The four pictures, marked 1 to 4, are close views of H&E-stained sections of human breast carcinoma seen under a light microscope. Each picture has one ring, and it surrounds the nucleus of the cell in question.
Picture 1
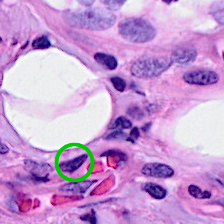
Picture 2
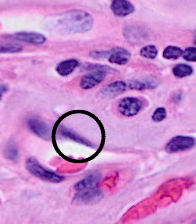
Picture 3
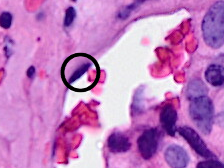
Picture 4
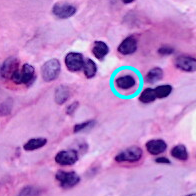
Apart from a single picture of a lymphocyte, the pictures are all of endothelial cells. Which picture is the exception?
4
